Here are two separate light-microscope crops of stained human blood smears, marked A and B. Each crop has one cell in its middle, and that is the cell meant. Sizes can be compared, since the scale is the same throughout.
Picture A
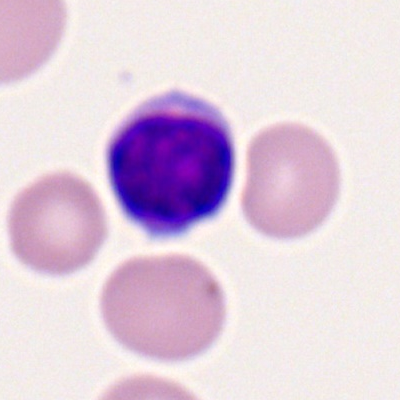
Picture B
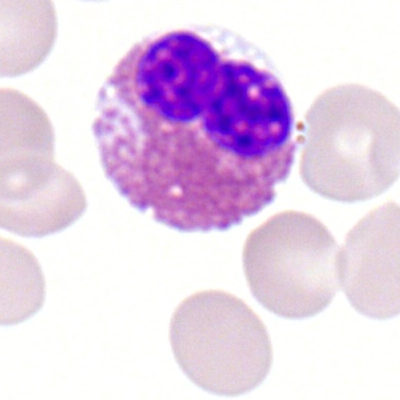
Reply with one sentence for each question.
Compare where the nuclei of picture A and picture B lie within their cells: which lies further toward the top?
It is the nucleus in picture B that lies further toward the top of its cell.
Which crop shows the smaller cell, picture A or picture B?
Picture A holds the smaller cell, since the cell in picture B covers about 2 times as much area.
